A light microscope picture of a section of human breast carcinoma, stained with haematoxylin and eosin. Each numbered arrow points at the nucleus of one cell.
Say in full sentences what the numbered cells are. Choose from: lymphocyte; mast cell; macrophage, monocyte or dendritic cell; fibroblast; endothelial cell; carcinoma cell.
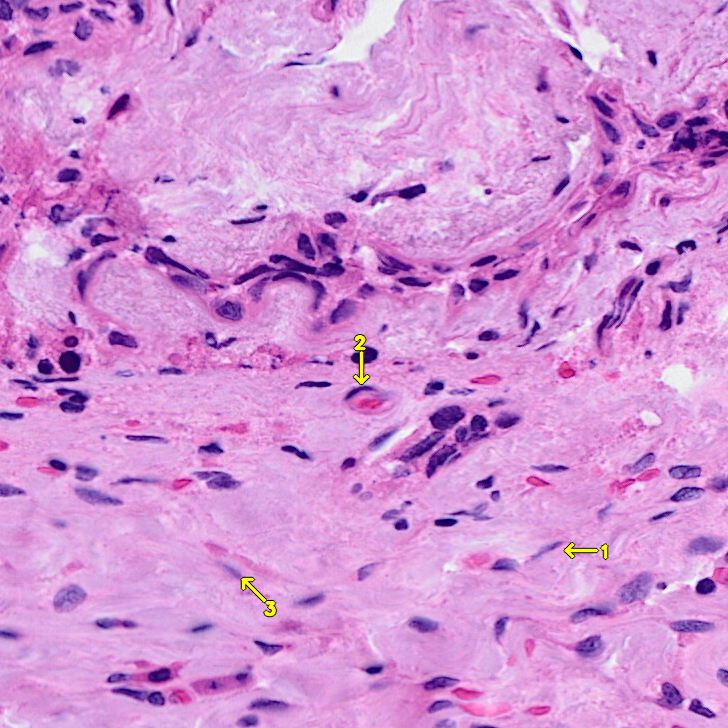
Cells 1 and 3 are fibroblasts. Cell 2 is an endothelial cell.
